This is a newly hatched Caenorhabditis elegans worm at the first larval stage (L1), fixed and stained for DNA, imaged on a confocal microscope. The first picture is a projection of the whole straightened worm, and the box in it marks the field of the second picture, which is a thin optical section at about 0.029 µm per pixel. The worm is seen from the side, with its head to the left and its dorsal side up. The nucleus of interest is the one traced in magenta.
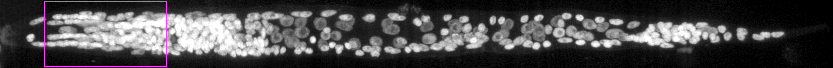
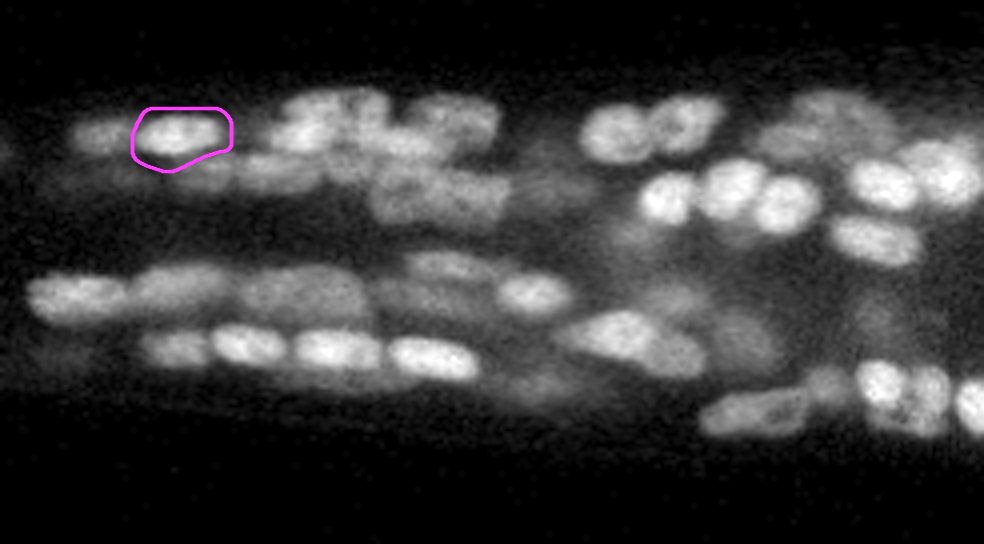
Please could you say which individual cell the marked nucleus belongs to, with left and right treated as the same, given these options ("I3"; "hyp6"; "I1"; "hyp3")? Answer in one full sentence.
It belongs to hyp3, a hypodermal cell (hyp).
